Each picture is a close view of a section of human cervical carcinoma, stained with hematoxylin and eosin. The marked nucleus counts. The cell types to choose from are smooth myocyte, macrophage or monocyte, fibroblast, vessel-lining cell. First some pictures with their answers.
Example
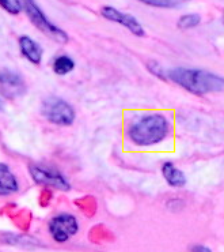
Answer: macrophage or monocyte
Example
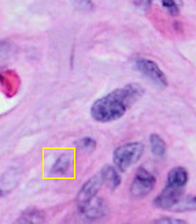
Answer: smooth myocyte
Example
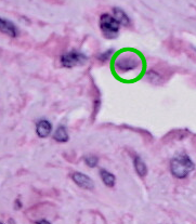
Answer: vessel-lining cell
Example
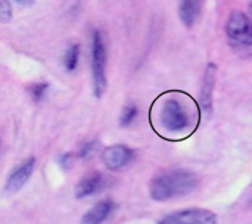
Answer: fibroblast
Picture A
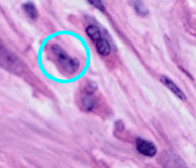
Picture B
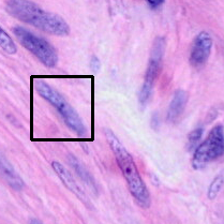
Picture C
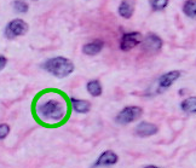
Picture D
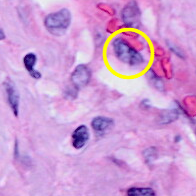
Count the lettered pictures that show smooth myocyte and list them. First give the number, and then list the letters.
2, namely B, C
